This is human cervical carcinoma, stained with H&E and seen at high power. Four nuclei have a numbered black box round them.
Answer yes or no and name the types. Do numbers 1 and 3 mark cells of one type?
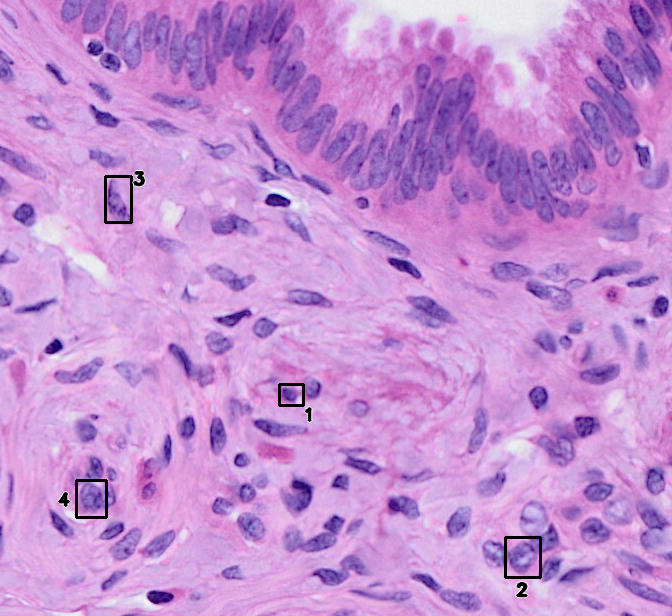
No, cell 3 is a fibroblast, and cell 1 is a smooth muscle cell.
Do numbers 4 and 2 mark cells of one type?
Yes, cells 4 and 2 fall into the same group, both being endothelial cells.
